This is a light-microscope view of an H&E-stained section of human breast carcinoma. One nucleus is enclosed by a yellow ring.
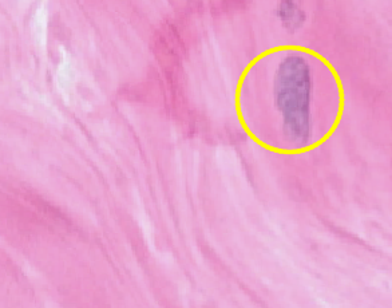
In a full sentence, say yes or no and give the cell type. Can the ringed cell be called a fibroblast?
Yes, and to confirm, the ringed cell is a fibroblast.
